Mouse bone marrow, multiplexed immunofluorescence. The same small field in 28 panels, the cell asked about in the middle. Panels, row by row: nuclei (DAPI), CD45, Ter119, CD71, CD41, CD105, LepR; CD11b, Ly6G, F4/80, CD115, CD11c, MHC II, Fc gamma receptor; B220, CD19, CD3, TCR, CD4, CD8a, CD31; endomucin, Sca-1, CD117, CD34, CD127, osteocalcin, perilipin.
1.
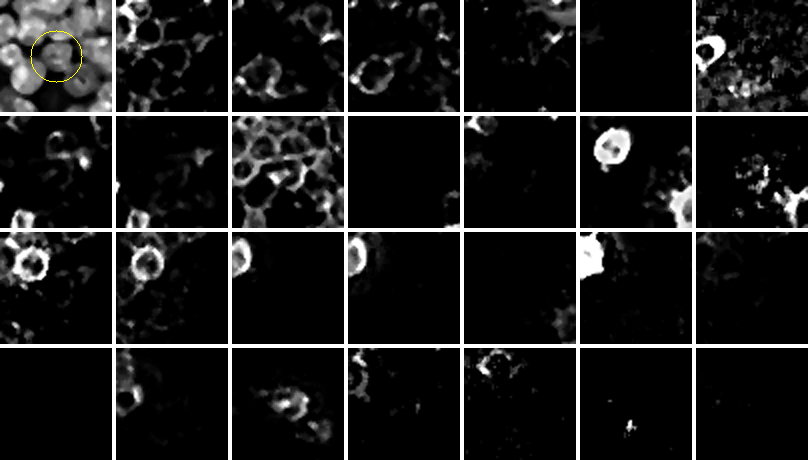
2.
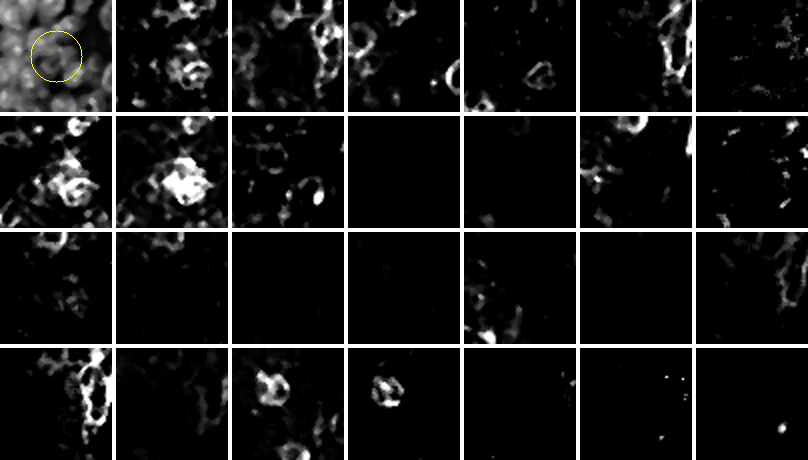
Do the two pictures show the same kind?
No: a granulocyte-monocyte progenitor, then a neutrophil.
